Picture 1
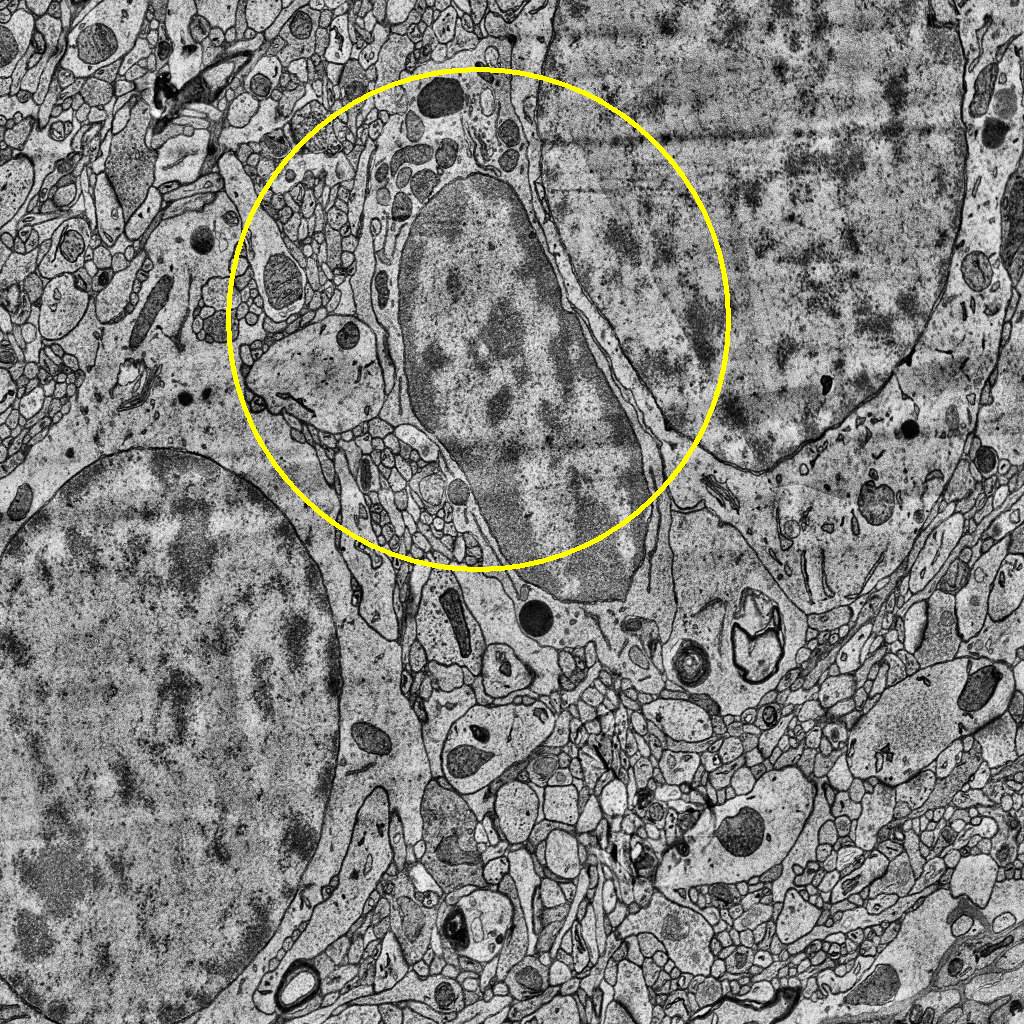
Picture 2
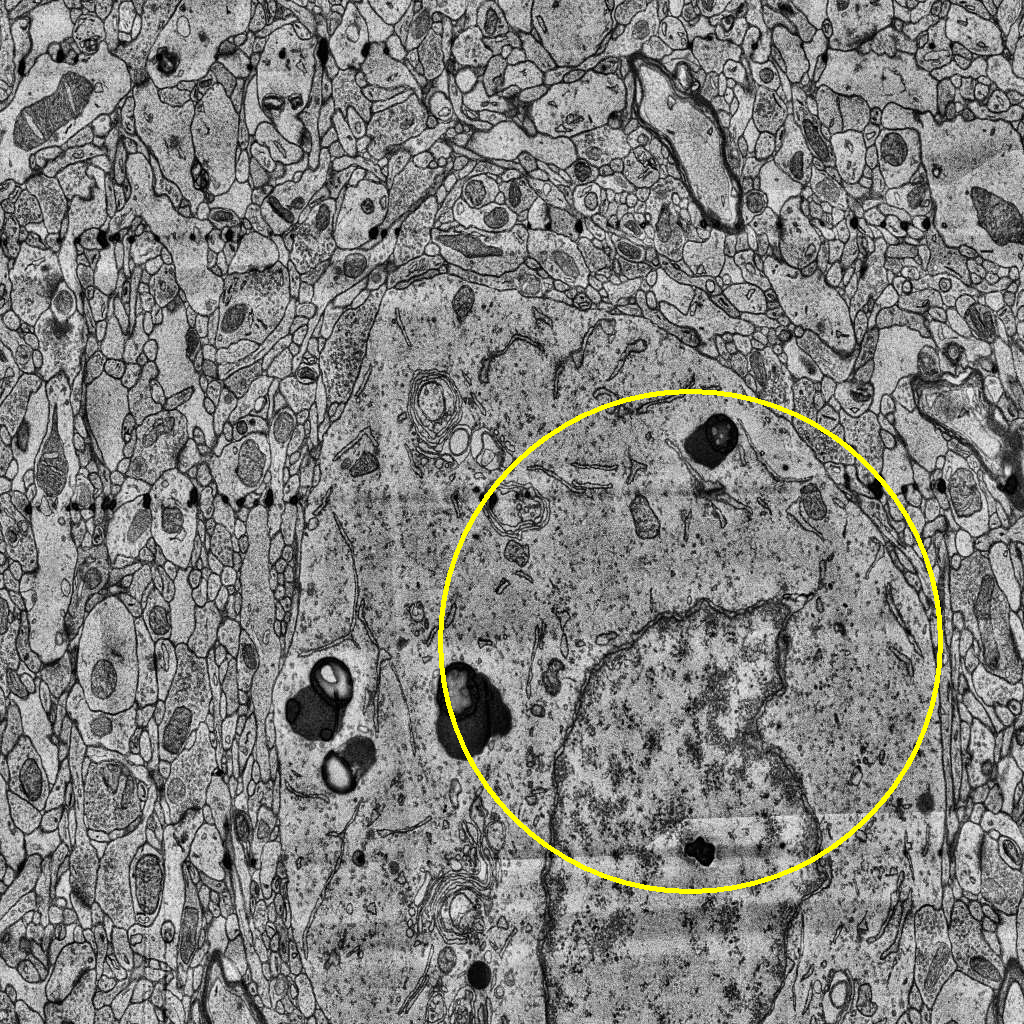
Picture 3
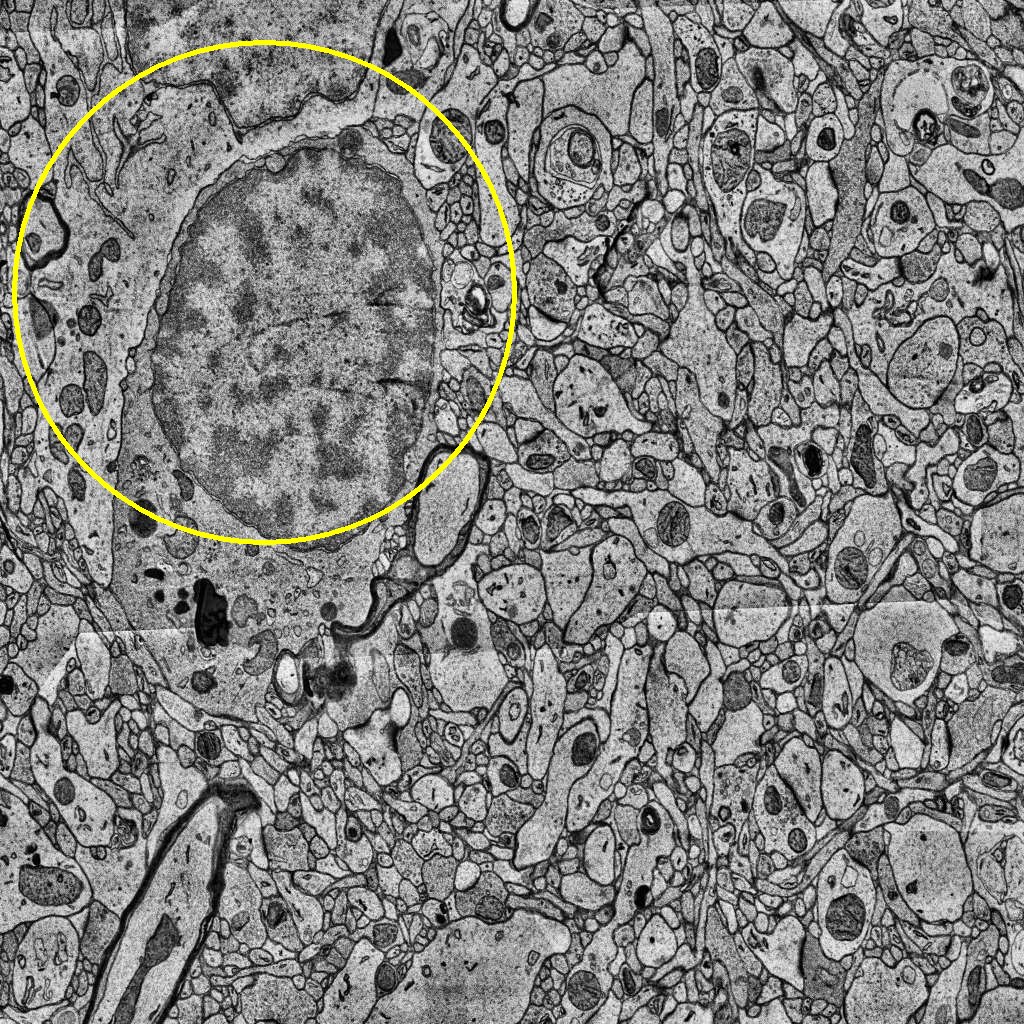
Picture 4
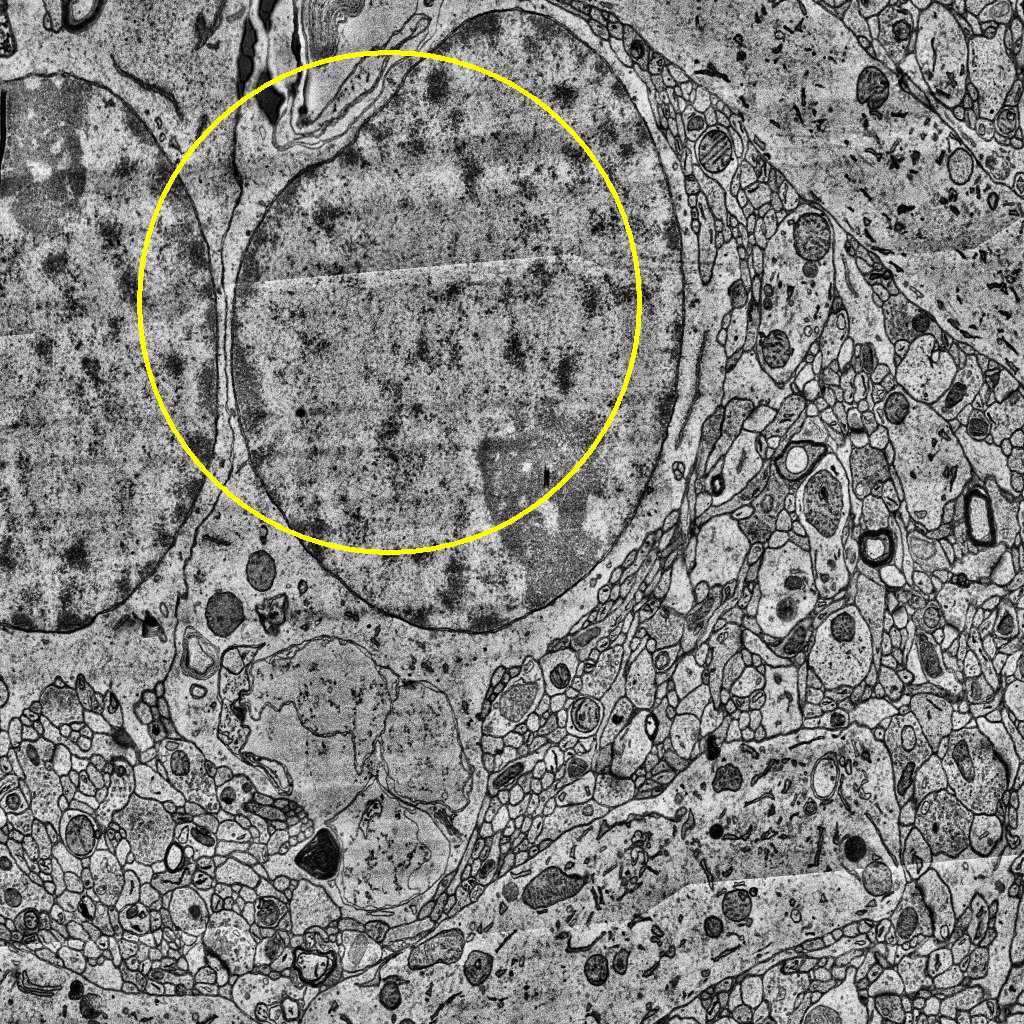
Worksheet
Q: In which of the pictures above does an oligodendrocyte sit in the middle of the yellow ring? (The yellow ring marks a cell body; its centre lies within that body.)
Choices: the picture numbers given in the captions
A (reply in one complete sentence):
In picture 3, the cell sitting at the centre of the ring is the match.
